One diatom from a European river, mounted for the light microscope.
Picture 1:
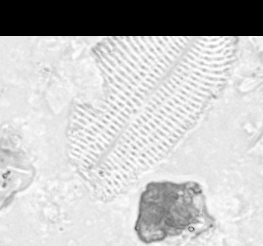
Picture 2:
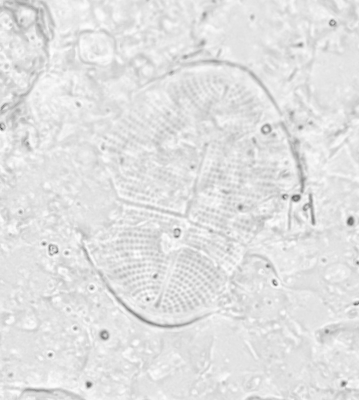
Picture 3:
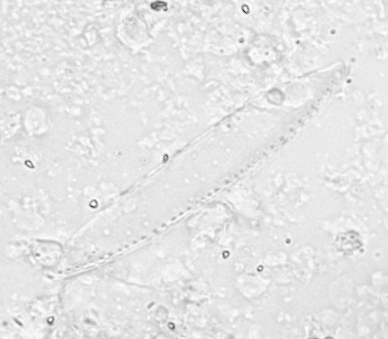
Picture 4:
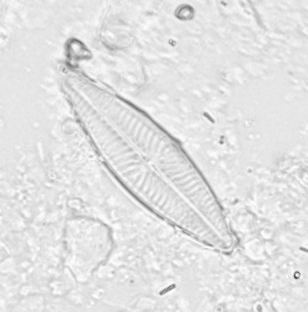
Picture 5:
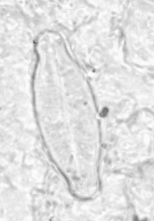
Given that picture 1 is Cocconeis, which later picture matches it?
2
